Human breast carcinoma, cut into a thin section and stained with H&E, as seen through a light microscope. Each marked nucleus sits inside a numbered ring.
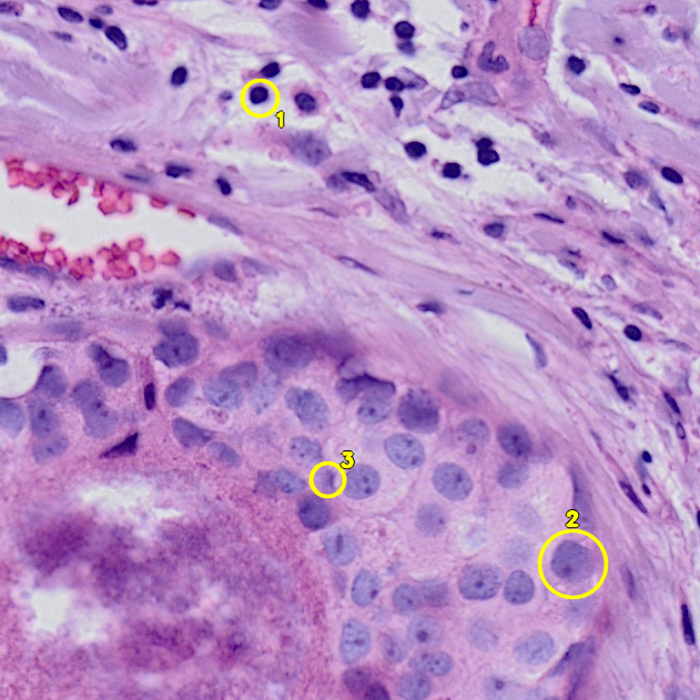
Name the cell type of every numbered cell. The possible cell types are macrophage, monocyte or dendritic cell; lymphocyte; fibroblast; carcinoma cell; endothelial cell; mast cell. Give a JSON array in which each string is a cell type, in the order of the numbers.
["lymphocyte", "carcinoma cell", "carcinoma cell"]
